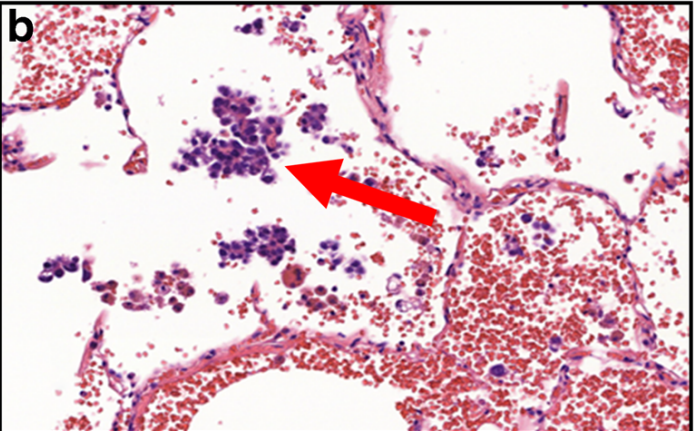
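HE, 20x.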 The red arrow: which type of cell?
intraalveolar atypical tumor cells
